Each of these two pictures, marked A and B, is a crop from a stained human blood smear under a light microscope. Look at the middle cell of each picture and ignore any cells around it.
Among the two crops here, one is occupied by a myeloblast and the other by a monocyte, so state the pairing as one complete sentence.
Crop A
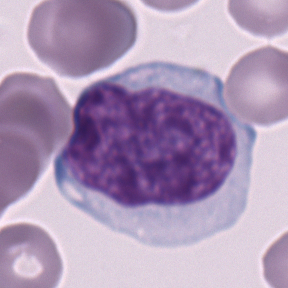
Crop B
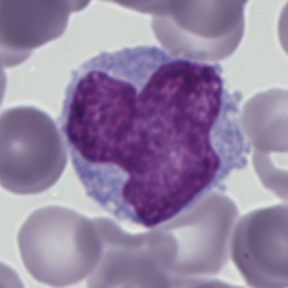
Found in crop A is a myeloblast; found in crop B is a monocyte.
